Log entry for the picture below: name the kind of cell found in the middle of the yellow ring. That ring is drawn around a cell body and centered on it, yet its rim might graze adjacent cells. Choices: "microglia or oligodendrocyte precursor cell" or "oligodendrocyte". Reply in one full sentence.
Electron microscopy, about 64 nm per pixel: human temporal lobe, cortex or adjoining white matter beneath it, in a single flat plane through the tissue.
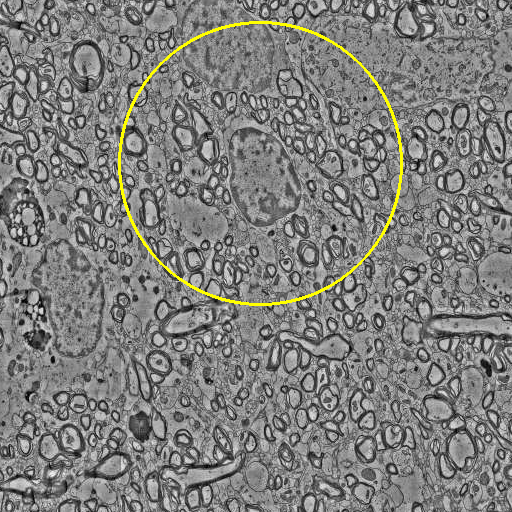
The cell in the middle of the yellow ring in this picture is a microglial cell or oligodendrocyte precursor cell.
